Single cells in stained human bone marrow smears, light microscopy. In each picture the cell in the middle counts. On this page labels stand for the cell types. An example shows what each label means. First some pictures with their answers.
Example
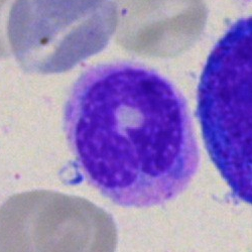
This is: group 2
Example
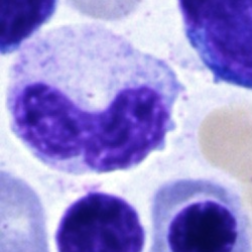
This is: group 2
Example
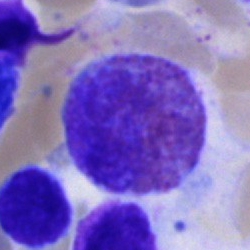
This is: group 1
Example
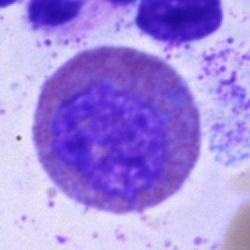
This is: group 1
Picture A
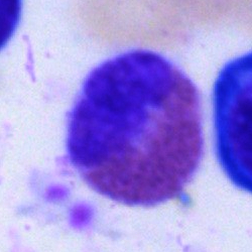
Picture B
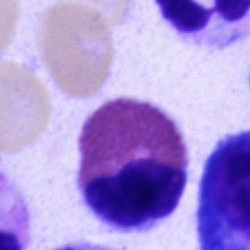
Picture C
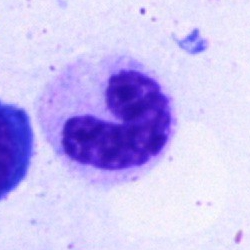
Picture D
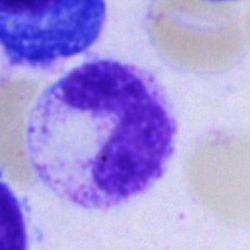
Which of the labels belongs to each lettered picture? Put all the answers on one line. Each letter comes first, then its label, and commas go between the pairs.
A group 1, B group 1, C group 2, D group 2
